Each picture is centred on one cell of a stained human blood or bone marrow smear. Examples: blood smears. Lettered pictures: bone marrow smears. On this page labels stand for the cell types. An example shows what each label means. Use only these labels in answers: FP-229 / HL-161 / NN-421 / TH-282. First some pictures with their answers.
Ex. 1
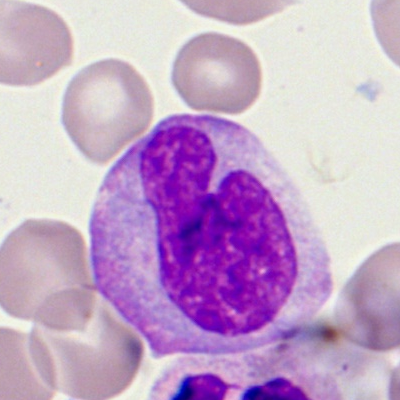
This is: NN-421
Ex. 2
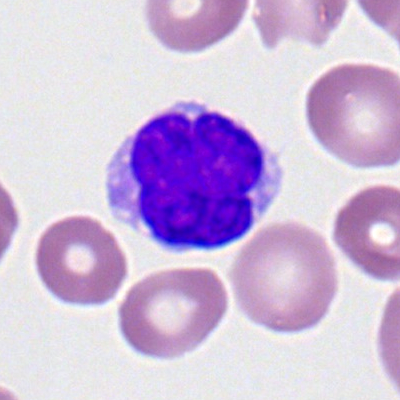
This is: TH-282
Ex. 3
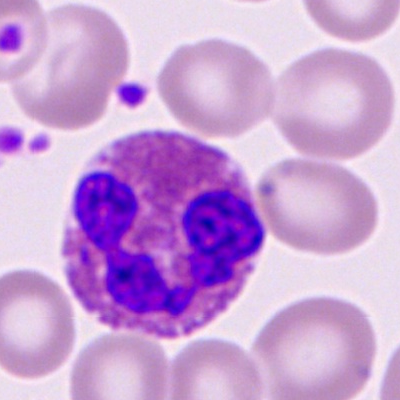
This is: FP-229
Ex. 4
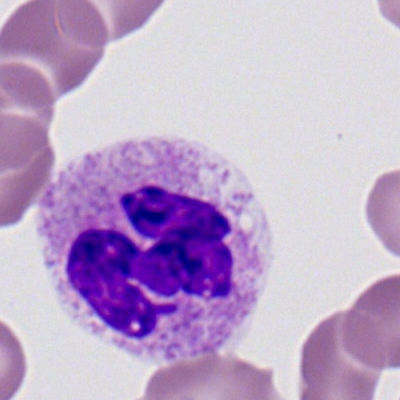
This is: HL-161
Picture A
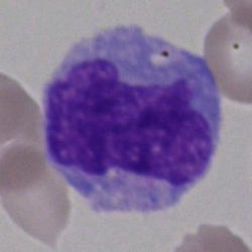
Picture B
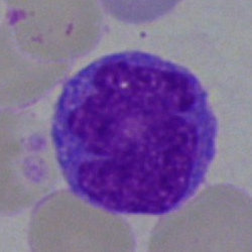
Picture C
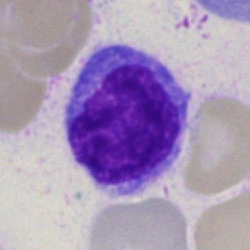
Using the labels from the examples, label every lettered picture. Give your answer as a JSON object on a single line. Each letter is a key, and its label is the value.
{"A": "NN-421", "B": "NN-421", "C": "NN-421"}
